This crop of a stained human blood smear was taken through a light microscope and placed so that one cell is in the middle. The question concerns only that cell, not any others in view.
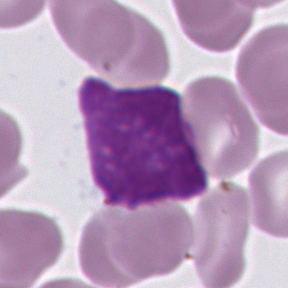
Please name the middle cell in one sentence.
At the crop's centre, the cell is a smudge cell.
